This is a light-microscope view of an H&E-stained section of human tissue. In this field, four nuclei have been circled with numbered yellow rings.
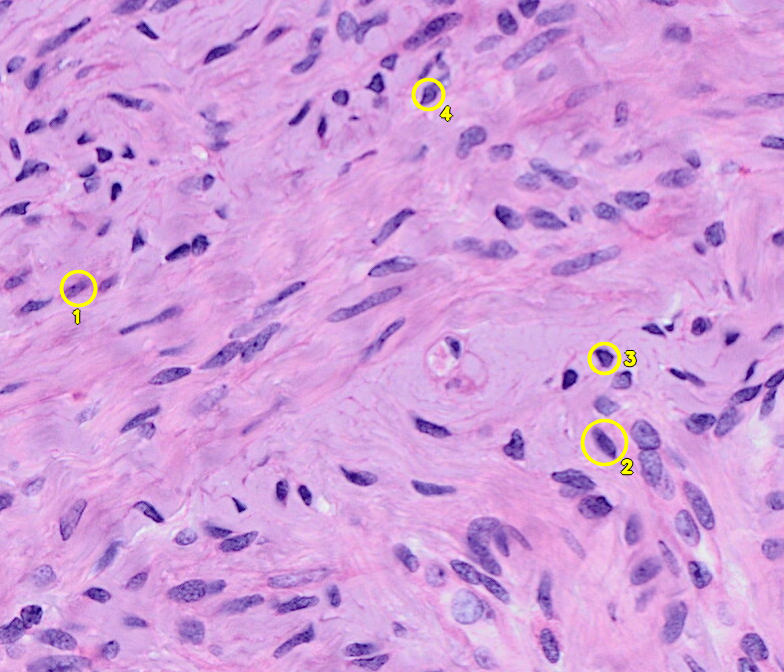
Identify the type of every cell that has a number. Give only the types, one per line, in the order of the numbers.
smooth muscle cell
fibroblast
fibroblast
fibroblast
